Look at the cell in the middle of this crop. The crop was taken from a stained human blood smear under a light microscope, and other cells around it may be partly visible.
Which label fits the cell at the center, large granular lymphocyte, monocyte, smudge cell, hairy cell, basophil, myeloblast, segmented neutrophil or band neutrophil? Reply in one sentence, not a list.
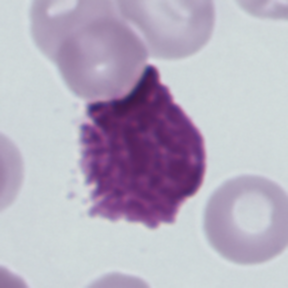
In the central position of this crop, the cell is a smudge cell.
